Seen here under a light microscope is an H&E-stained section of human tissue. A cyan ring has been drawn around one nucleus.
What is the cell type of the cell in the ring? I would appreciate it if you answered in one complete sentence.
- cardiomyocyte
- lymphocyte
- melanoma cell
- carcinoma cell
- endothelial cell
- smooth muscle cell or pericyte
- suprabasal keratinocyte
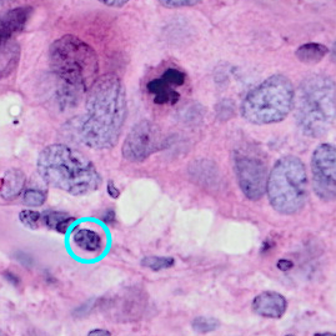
To be brief about it, the cell in the ring is a lymphocyte.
